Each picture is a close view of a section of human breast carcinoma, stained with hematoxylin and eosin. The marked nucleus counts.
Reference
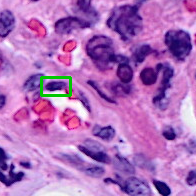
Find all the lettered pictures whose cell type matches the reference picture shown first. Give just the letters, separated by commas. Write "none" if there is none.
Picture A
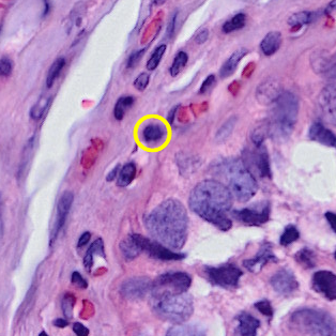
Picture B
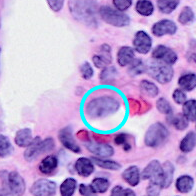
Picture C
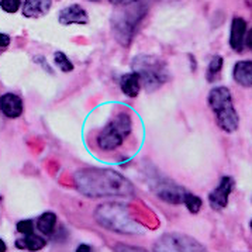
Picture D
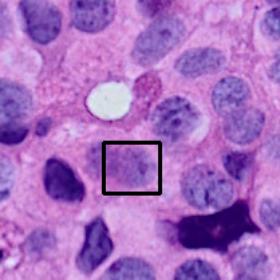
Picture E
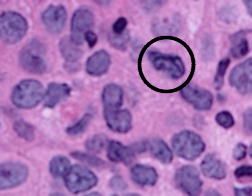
B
